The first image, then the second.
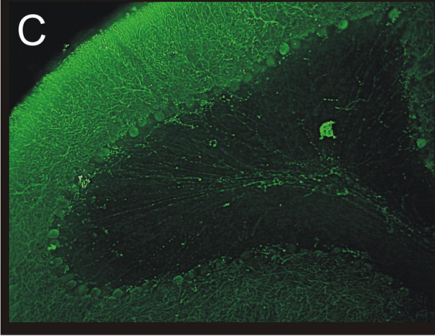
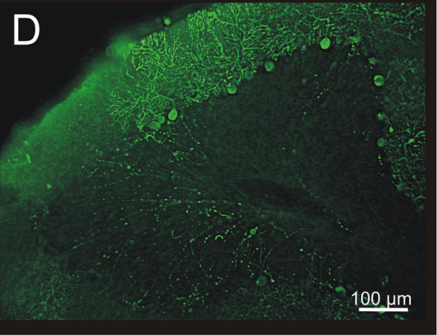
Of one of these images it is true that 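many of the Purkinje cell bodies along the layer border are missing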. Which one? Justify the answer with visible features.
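The second image. First image: round green cell bodies form a nearly continuous row around the lobule. Second image: the row is patchy, with long gaps and few remaining cell bodies.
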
